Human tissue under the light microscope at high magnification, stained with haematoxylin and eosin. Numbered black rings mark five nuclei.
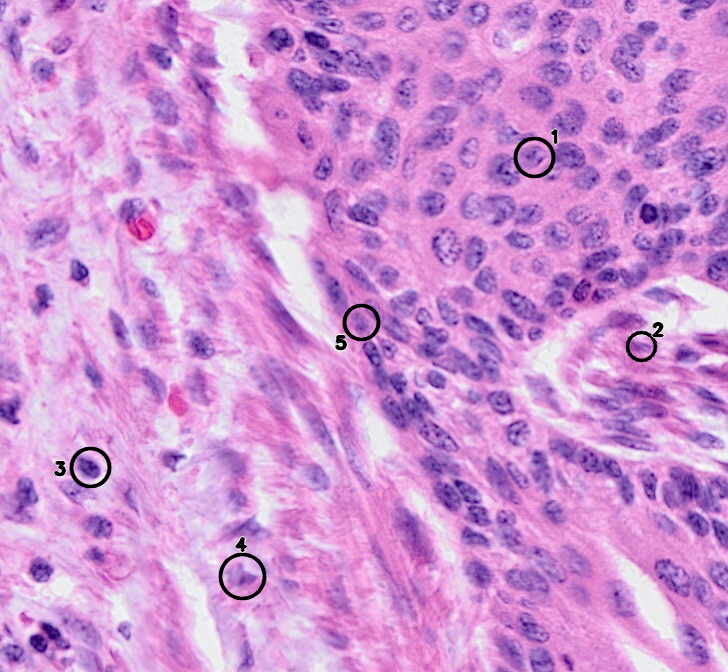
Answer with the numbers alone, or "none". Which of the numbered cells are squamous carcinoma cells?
1, 5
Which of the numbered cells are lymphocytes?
3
